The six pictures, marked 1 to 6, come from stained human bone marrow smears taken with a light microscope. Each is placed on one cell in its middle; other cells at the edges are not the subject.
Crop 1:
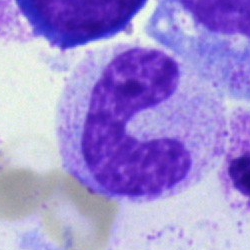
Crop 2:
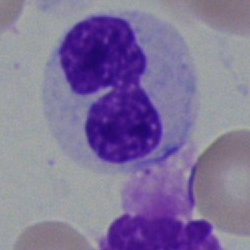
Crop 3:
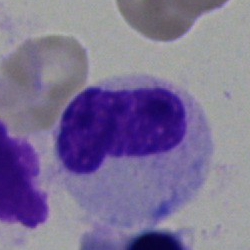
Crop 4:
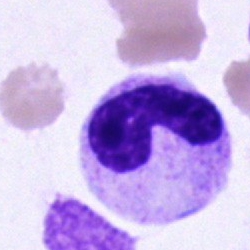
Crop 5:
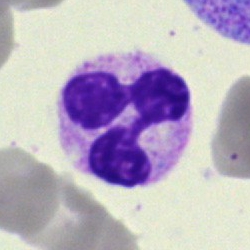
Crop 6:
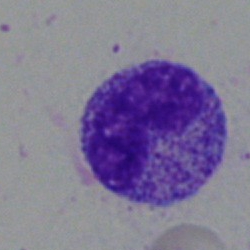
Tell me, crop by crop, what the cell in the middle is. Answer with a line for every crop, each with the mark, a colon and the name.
1: band neutrophil
2: segmented neutrophil
3: band neutrophil
4: band neutrophil
5: segmented neutrophil
6: band neutrophil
